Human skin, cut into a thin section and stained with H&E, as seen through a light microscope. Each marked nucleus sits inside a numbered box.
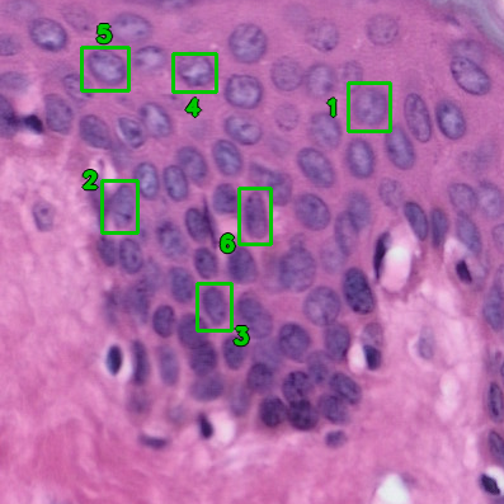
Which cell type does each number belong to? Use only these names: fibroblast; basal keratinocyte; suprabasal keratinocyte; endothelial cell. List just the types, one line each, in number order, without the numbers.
suprabasal keratinocyte
basal keratinocyte
basal keratinocyte
suprabasal keratinocyte
suprabasal keratinocyte
basal keratinocyte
